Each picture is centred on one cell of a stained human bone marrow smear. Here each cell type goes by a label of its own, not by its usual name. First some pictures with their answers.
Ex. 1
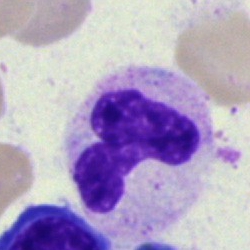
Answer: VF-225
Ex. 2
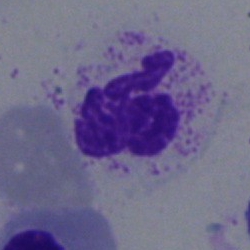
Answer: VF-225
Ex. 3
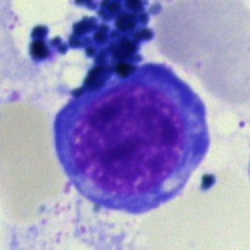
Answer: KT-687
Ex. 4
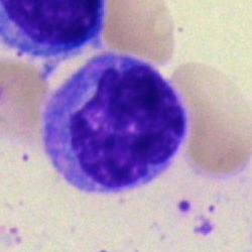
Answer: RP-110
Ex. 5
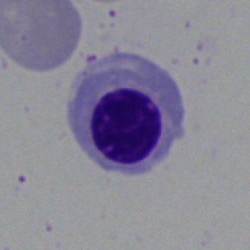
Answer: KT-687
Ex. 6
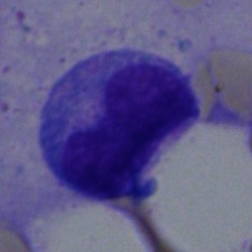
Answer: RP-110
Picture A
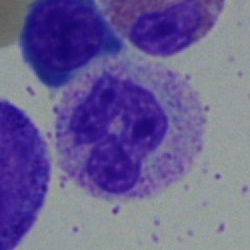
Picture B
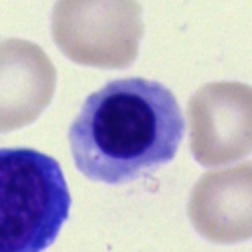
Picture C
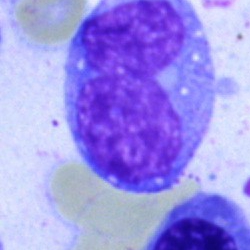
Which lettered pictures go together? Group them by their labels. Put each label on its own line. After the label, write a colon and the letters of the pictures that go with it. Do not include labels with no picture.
VF-225: A
KT-687: B
RP-110: C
